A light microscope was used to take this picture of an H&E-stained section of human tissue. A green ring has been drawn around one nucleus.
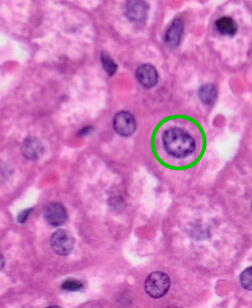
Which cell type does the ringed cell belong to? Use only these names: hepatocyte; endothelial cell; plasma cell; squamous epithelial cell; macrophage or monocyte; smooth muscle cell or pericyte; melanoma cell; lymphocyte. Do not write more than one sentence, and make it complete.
The cell type represented by the ringed cell is that of a hepatocyte.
